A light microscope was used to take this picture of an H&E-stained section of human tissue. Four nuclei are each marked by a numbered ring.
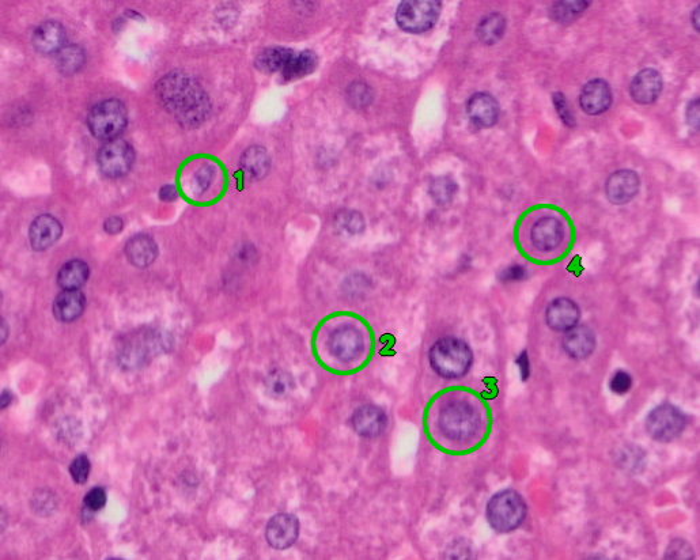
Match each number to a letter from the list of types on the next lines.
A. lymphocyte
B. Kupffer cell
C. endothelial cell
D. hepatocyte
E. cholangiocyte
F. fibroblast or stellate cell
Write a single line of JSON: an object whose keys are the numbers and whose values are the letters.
{"1": "C", "2": "D", "3": "D", "4": "D"}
